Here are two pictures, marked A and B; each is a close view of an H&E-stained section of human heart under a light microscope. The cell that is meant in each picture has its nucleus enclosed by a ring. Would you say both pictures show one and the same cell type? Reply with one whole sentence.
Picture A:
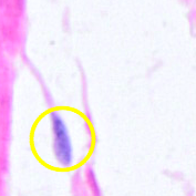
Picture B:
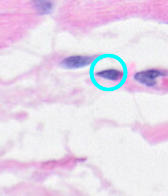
Yes, both are fibroblasts.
